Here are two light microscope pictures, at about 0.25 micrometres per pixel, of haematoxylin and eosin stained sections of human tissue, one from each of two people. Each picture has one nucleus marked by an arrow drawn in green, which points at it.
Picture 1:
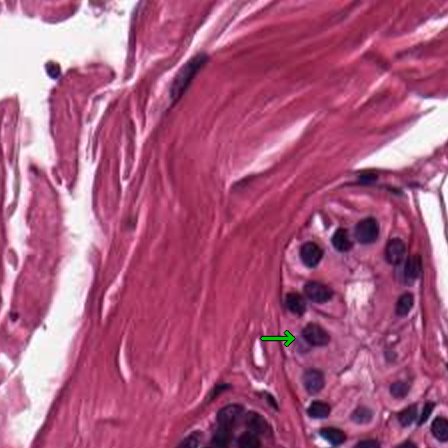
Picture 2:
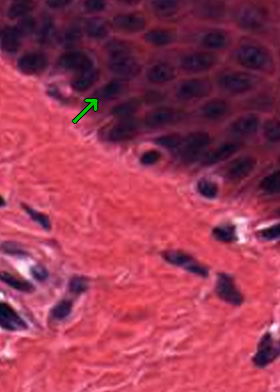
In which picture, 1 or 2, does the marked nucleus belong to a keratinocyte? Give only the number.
2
